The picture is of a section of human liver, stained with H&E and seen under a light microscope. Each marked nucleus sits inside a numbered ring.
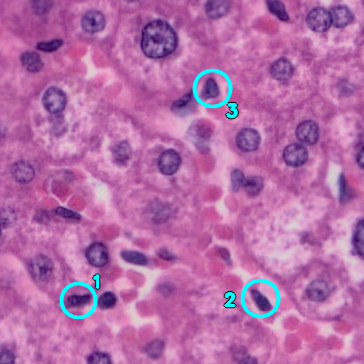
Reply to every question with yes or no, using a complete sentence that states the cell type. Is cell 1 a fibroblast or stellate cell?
Yes, kindly take note: the cell numbered 1 is a fibroblast or stellate cell.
